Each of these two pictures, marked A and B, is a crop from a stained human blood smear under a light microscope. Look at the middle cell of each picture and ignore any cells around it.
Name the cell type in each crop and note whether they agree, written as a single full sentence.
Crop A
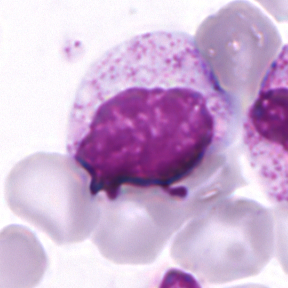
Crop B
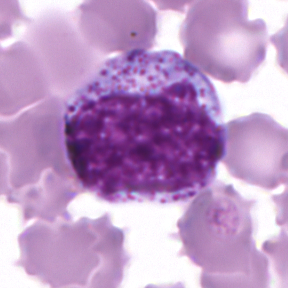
No, crop A captures a myelocyte, and crop B captures a metamyelocyte.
